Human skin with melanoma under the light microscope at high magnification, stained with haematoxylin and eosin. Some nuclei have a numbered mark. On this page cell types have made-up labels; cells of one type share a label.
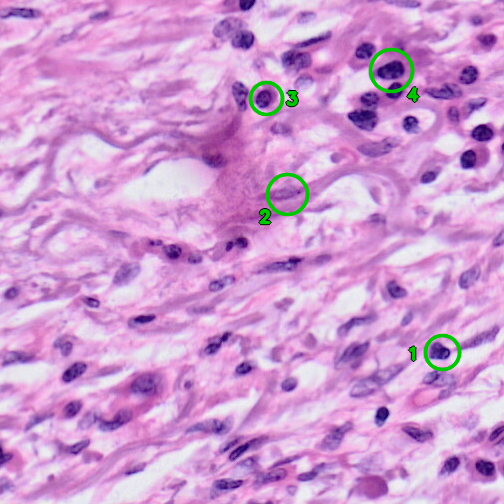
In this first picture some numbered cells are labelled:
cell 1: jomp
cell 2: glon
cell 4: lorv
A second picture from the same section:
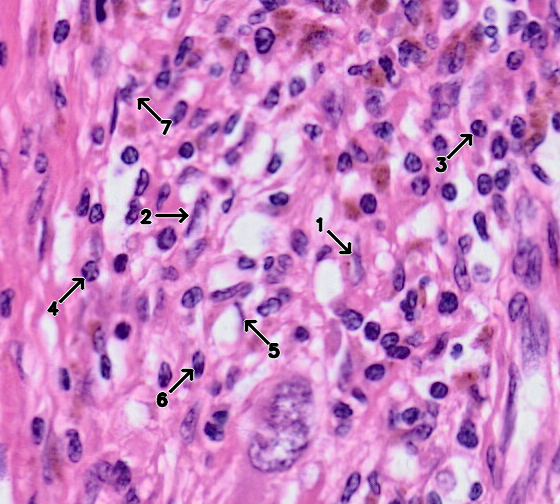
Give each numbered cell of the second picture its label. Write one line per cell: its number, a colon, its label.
1: glon
2: glon
3: lorv
4: lorv
5: glon
6: jomp
7: glon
